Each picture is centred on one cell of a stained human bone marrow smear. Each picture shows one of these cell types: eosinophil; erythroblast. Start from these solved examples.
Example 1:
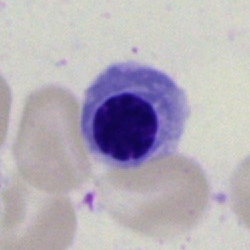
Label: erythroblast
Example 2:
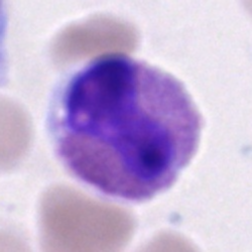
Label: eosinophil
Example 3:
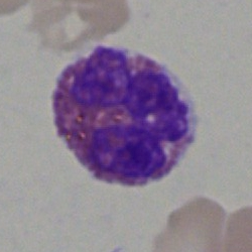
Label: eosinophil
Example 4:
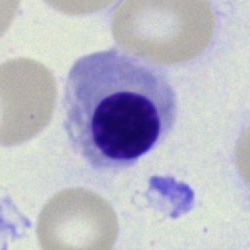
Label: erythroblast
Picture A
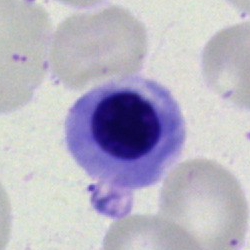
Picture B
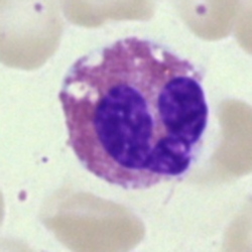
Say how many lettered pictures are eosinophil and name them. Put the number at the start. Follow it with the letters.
1: B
